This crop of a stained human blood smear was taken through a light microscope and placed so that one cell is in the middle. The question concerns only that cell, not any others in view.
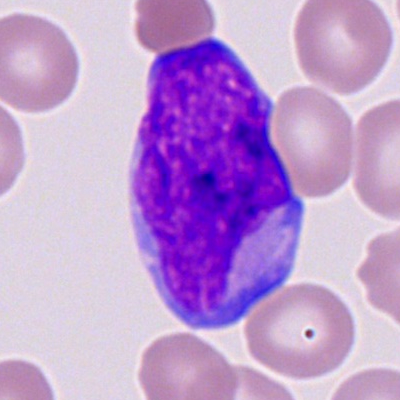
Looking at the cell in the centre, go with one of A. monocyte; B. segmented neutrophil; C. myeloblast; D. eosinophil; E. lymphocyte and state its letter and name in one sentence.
Since the middle cell is a myeloblast, option C is the right one.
